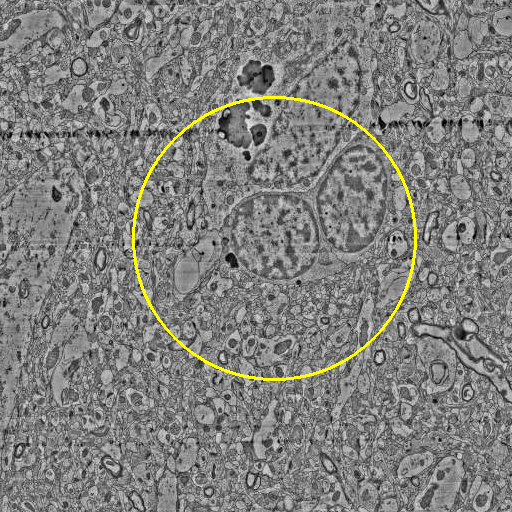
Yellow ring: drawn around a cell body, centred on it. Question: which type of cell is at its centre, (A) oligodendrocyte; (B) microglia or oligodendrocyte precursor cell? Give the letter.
A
